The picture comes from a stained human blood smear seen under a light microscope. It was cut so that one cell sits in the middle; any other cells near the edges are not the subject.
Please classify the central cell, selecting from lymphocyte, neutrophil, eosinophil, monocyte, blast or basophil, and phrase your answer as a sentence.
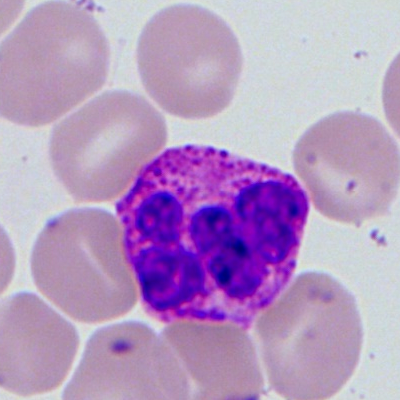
In this crop, the cell at the very middle is a basophil.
